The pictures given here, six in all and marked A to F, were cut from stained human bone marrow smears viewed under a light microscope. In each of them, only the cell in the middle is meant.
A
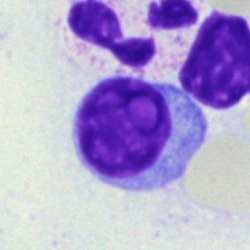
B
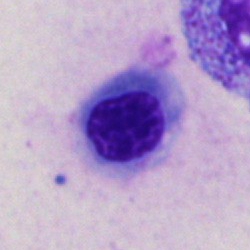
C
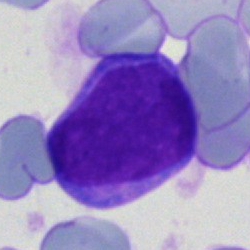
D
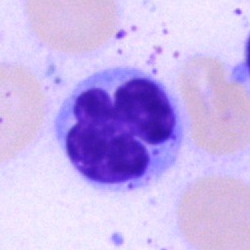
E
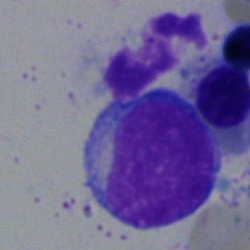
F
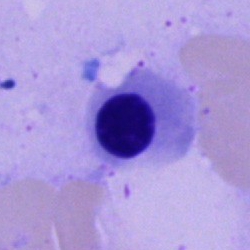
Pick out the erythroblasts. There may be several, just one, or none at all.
B, F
